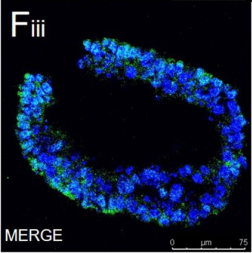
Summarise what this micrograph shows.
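A cross section of a cell aggregate whose cells form a stratified wall several nuclei thick around a large empty central cavity, the wall open on one side. The tightly packed nuclei are blue, and green signal overlaps much of the wall, giving it a cyan tone.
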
